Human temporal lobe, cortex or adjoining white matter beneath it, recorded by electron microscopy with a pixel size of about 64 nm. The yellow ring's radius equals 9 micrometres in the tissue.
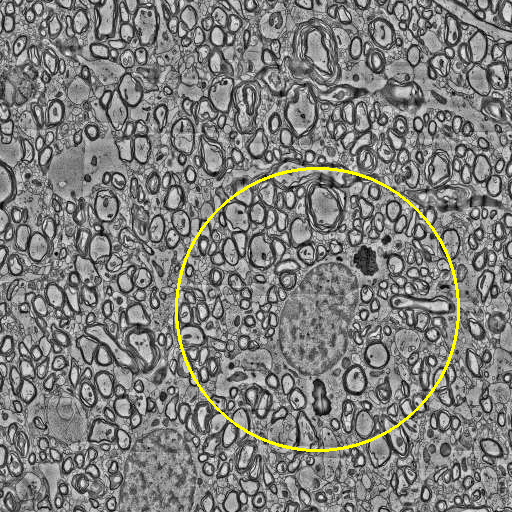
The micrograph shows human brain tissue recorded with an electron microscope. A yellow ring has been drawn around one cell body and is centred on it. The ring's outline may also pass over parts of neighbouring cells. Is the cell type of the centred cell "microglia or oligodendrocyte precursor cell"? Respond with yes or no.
no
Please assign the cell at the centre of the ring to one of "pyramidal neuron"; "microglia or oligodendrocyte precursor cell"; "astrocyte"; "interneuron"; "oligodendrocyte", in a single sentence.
The cell that the ring is centred on is an oligodendrocyte.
